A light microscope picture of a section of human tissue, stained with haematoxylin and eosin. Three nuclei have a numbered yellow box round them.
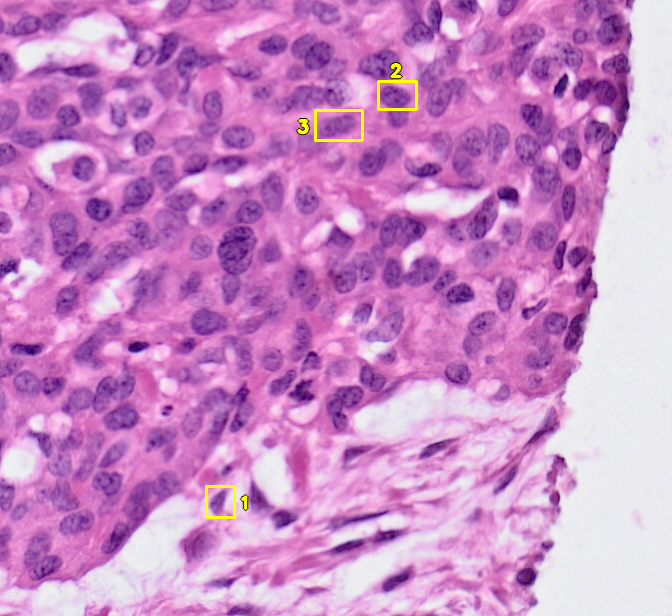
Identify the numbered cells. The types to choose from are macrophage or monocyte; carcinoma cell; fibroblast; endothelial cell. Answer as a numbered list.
1. fibroblast
2. carcinoma cell
3. carcinoma cell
